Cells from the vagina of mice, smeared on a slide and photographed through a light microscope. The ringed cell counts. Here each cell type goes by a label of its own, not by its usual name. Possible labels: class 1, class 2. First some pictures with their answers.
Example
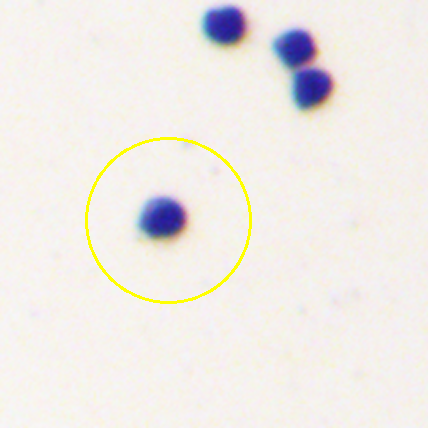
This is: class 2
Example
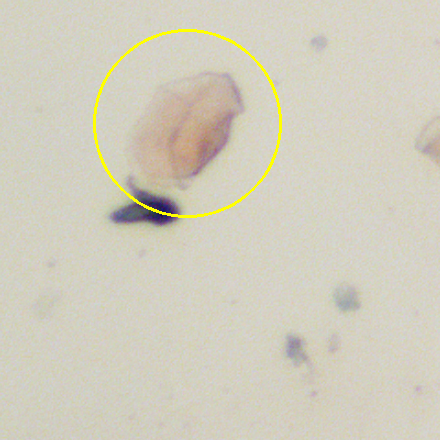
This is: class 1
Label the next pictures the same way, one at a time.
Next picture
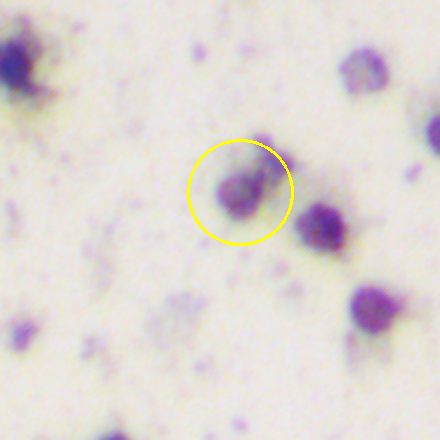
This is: class 2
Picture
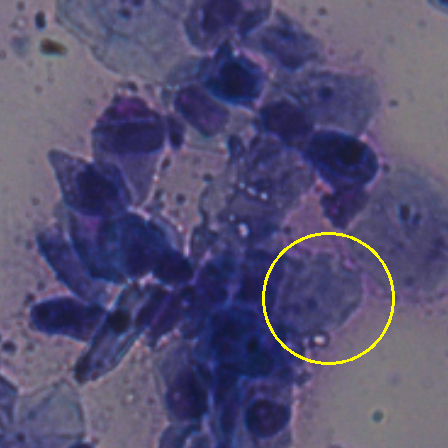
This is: class 1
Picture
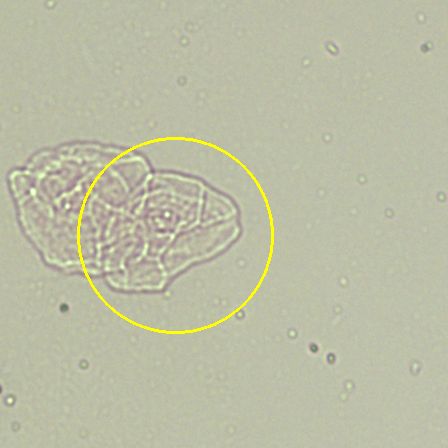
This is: class 1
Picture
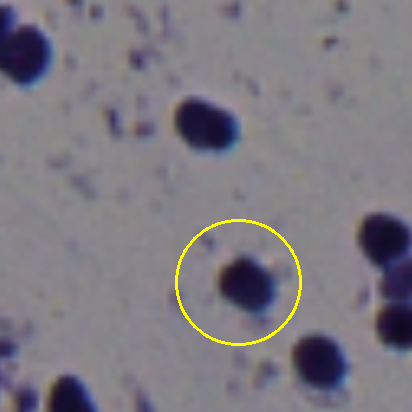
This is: class 2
